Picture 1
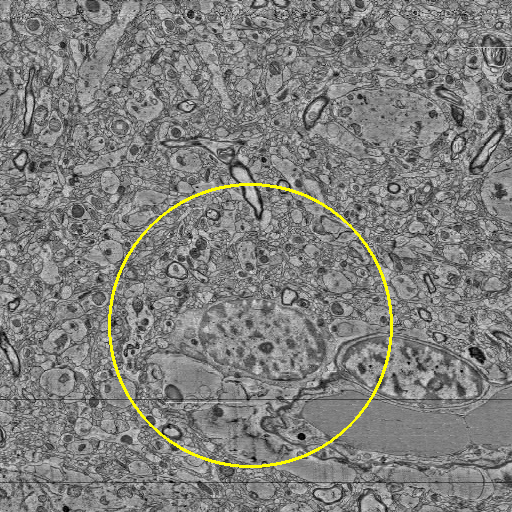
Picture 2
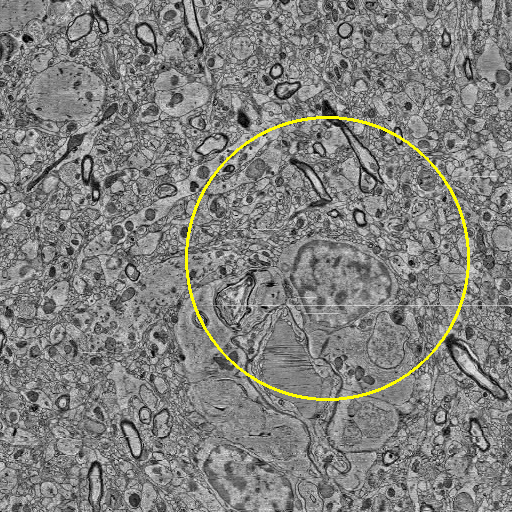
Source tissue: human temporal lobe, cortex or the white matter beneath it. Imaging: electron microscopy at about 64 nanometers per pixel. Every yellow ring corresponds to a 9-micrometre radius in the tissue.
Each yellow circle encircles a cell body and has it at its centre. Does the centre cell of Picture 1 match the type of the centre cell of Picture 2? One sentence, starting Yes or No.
Yes, the cell centred in Picture 1 and the one in Picture 2 share a type.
